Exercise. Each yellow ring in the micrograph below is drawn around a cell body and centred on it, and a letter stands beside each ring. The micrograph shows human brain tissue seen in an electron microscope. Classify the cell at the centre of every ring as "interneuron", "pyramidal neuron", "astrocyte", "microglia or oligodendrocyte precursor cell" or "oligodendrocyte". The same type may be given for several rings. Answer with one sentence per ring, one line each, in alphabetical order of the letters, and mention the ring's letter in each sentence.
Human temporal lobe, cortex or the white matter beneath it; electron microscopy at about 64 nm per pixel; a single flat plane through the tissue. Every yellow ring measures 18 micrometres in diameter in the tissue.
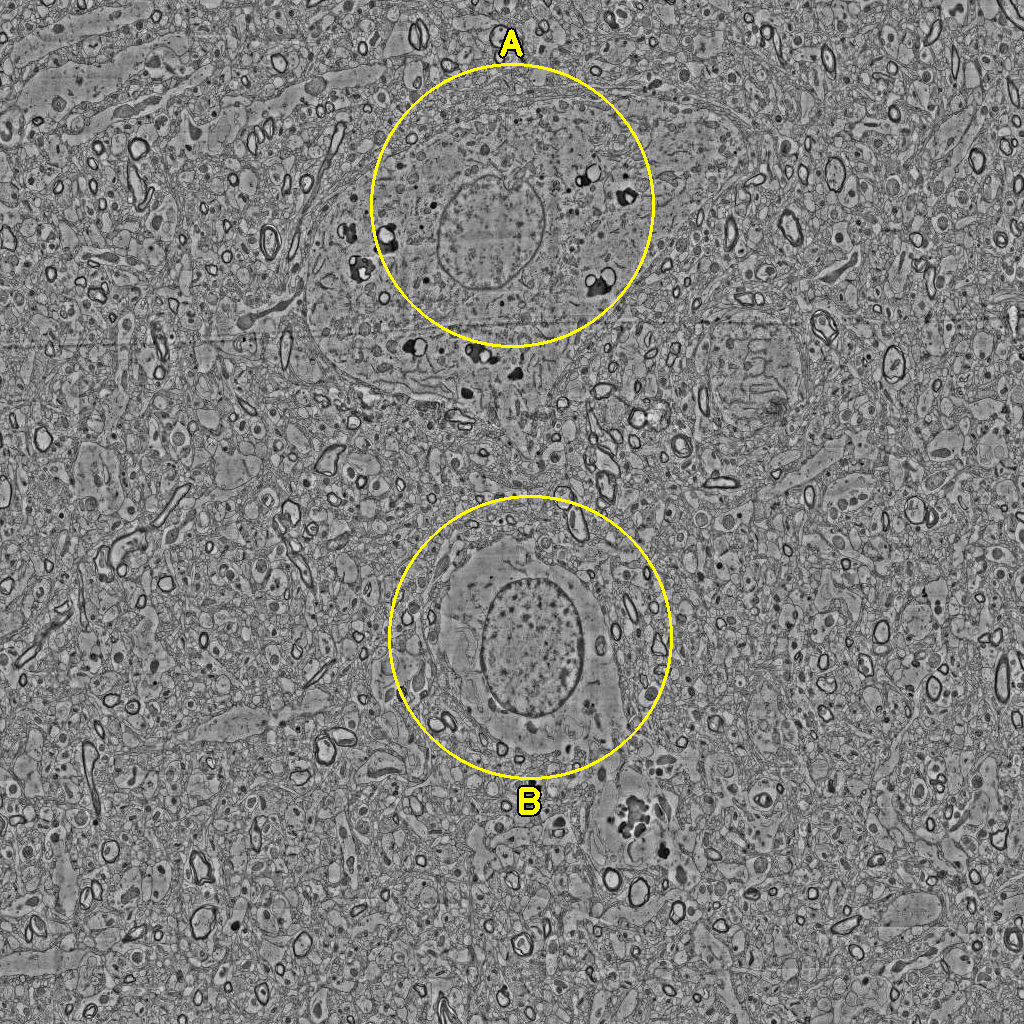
In ring A, the central cell is a pyramidal neuron.
In ring B, the central cell is an astrocyte.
